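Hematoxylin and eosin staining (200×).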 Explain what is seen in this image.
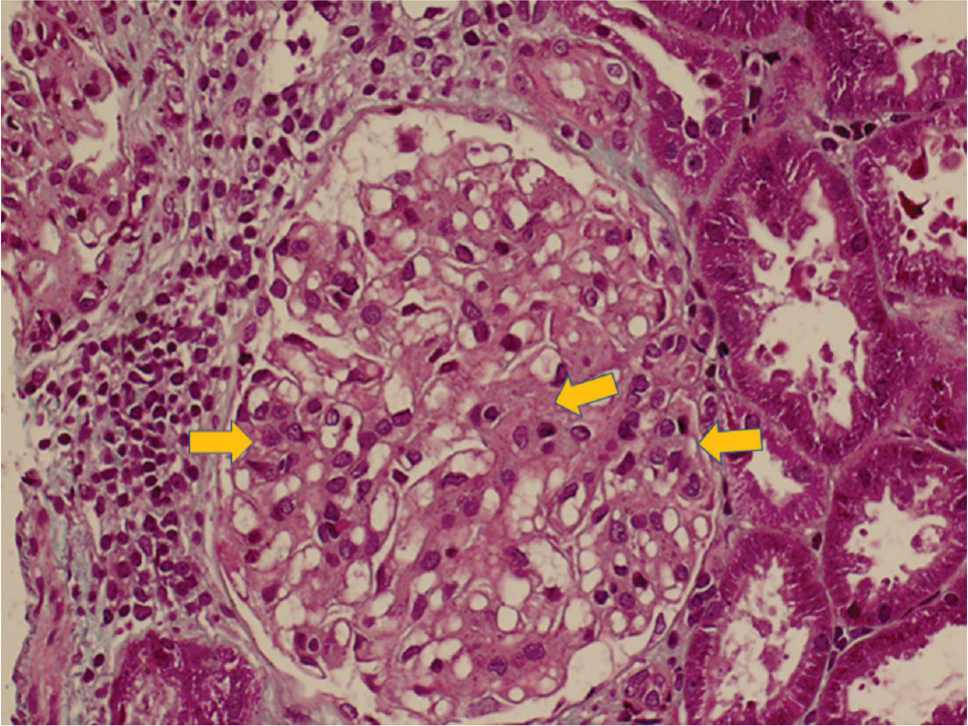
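Kidney cortex with a central glomerulus whose tuft is hypercellular, crowded with nuclei in the areas between capillary loops and widened pink mesangial regions. The tuft nearly fills Bowman's capsule, leaving a narrow pale urinary space at the top. To the left, the interstitium holds a dense infiltrate of small round darkly stained mononuclear cells. To the right, tubules are lined by cuboidal epithelium with pink cytoplasm and open lumens.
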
